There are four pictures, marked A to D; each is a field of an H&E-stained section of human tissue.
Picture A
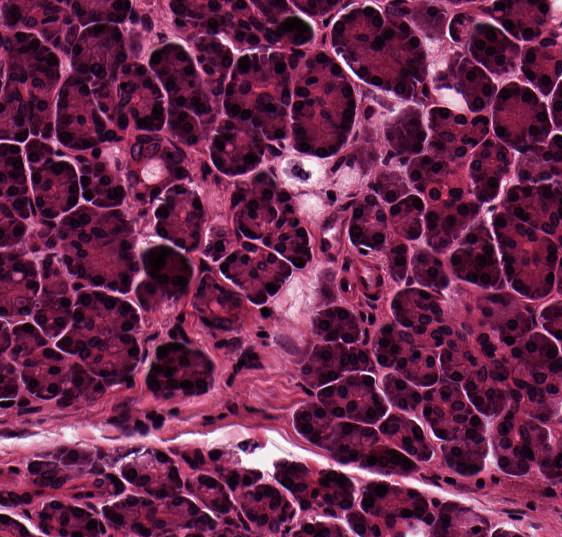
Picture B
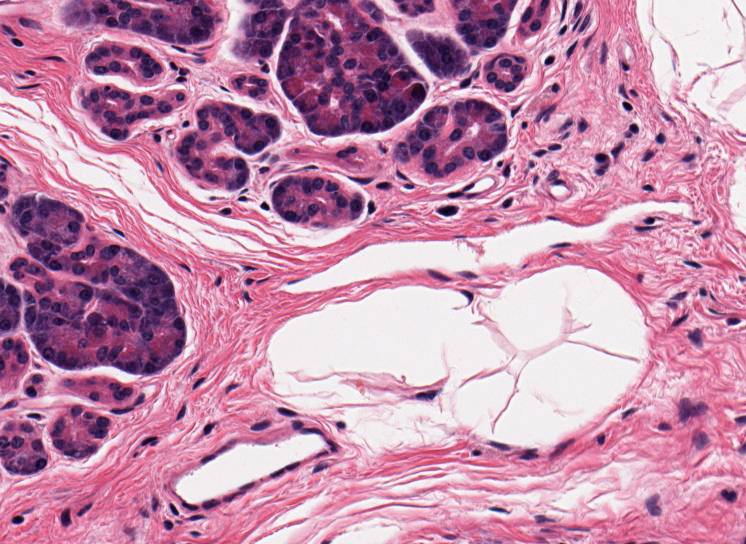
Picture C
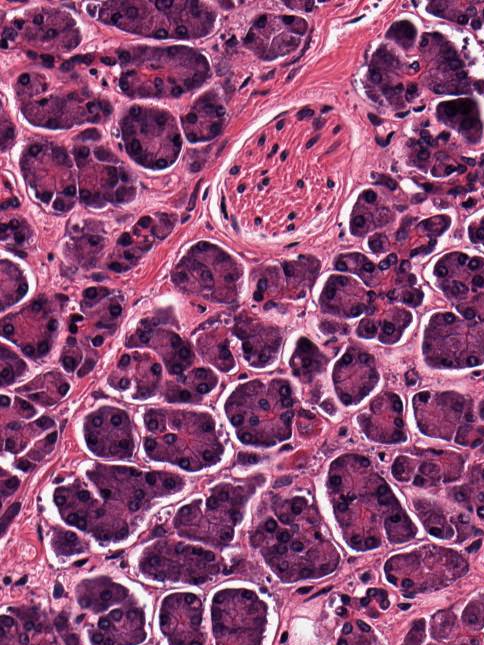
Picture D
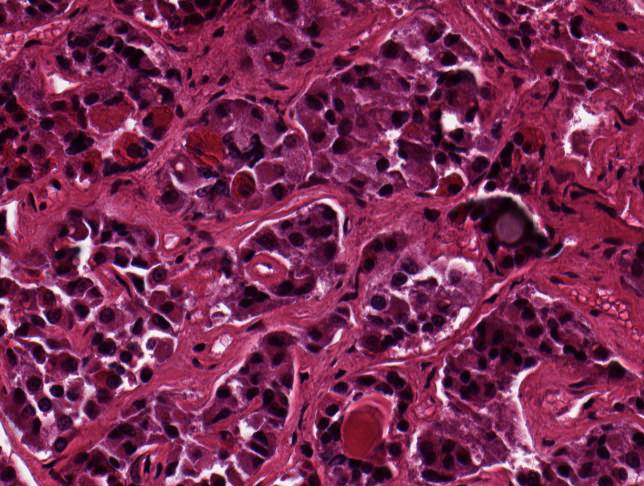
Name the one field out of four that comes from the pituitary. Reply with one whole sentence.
The one that comes from the pituitary is picture D.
